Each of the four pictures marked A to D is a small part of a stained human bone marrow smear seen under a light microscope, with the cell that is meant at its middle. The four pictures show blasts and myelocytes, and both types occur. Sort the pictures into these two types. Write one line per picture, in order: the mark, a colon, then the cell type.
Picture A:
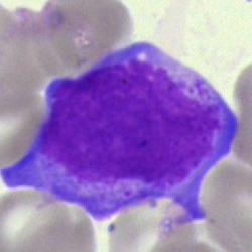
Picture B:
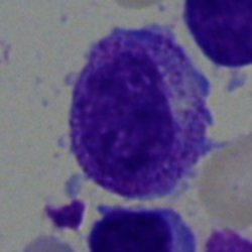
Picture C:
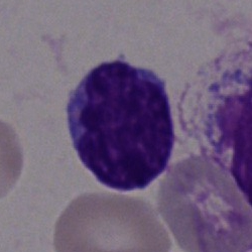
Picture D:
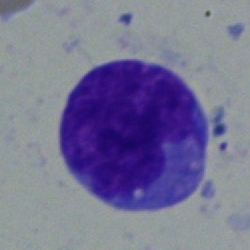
A: blast
B: myelocyte
C: blast
D: blast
